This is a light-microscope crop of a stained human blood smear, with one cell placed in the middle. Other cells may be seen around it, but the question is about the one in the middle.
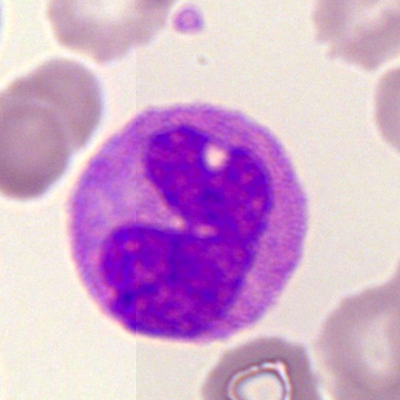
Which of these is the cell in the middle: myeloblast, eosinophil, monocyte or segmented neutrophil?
monocyte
